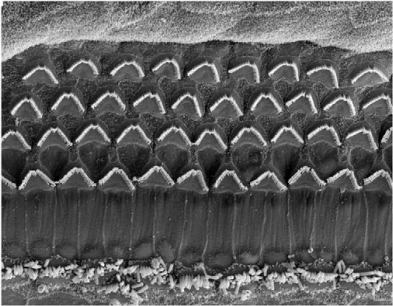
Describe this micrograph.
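The surface of the organ of Corti is seen from above. Outer hair cells carry stereocilia bundles shaped as V's or chevrons, all pointing the same way, set in regular staggered rows; here there are four such rows instead of the usual three. Between and beneath the bundles lie the smooth apical surfaces of the supporting cells, with the cell boundaries forming a regular mosaic. Below them runs a band of elongated pillar-cell heads, and at the lower edge a single row of inner hair cells with more linear, densely clustered bundles.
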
